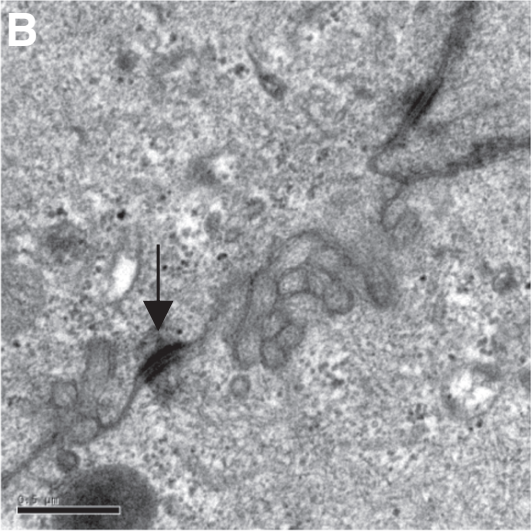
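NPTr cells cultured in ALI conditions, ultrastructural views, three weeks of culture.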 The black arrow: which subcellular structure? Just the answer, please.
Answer: Desmosome.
